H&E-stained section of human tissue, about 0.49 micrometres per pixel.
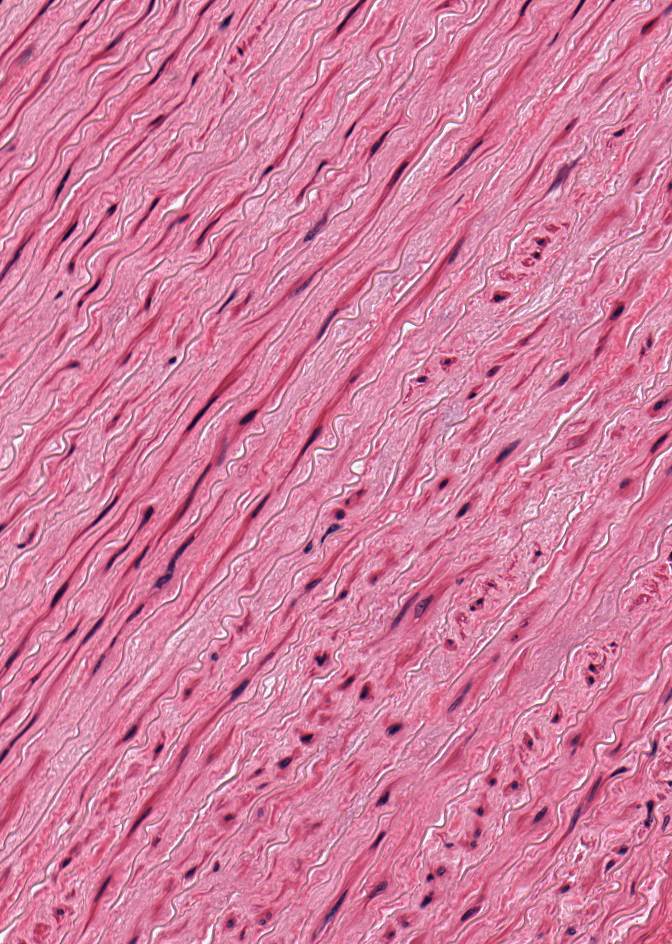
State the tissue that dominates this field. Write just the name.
tunica media of an artery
